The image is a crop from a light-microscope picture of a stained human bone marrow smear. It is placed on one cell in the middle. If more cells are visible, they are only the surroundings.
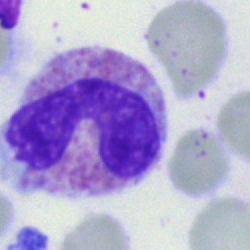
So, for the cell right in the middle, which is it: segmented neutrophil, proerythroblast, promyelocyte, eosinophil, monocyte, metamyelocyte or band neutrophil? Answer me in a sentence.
The cell featured at the centre of this crop is an eosinophil.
